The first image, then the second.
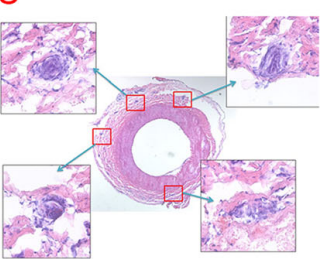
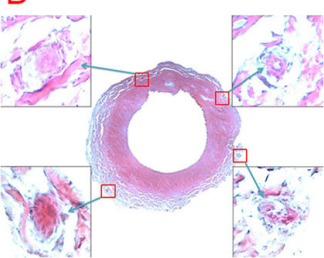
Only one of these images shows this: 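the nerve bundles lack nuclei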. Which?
The second image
